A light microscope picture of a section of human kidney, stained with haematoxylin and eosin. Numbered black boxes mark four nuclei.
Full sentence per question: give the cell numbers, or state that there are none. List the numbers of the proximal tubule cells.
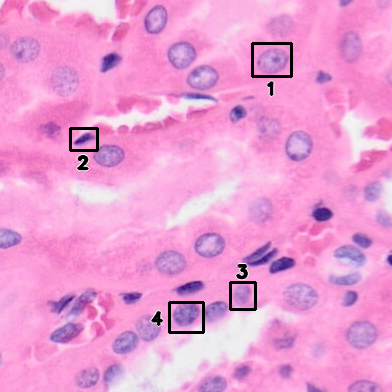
A single numbered cell, cell 1, is a proximal tubule cell.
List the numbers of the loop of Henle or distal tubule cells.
The cells that the numbers 3 and 4 belong to are loop of Henle or distal tubule cells.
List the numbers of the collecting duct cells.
No collecting duct cells are present among the numbered cells.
